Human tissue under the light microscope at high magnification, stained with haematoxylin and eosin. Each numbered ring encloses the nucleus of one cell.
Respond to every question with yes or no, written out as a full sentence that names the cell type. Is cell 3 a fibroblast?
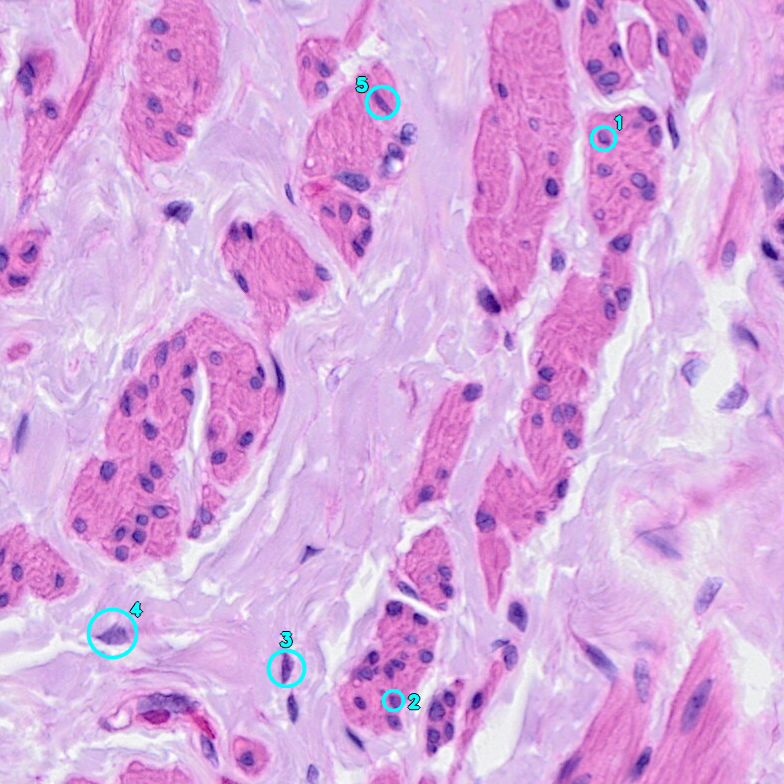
Yes, it is a fibroblast that number 3 identifies.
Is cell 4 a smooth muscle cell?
No, instead of a smooth muscle cell, the cell with number 4 is a fibroblast.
